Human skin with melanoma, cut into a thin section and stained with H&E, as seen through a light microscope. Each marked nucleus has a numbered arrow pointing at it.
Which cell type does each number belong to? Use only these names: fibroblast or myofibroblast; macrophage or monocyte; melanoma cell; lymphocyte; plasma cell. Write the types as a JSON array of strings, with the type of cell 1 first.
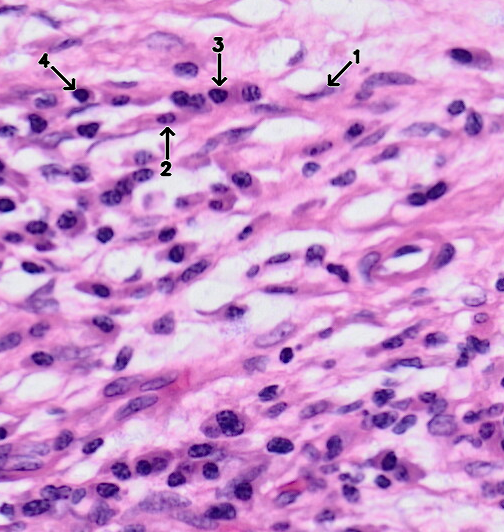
["fibroblast or myofibroblast", "plasma cell", "plasma cell", "plasma cell"]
